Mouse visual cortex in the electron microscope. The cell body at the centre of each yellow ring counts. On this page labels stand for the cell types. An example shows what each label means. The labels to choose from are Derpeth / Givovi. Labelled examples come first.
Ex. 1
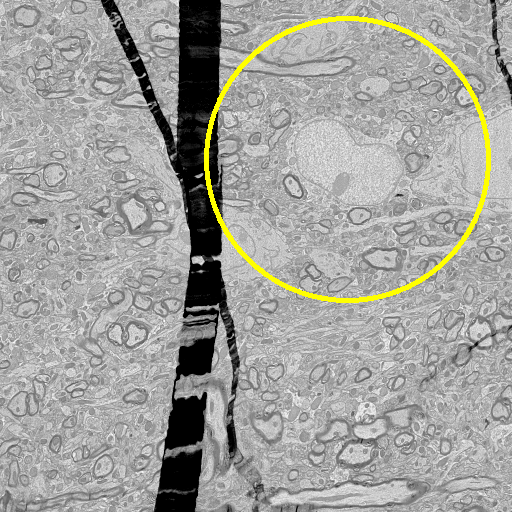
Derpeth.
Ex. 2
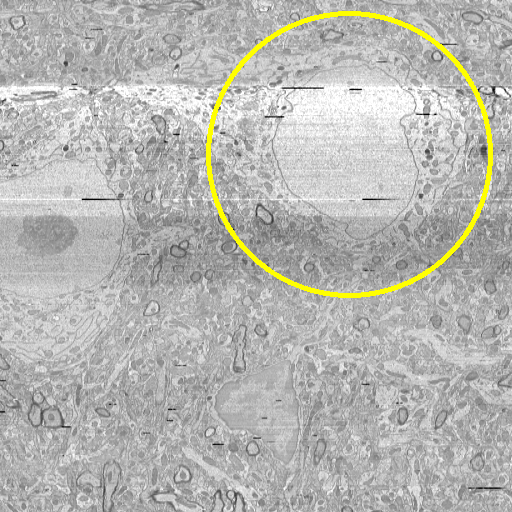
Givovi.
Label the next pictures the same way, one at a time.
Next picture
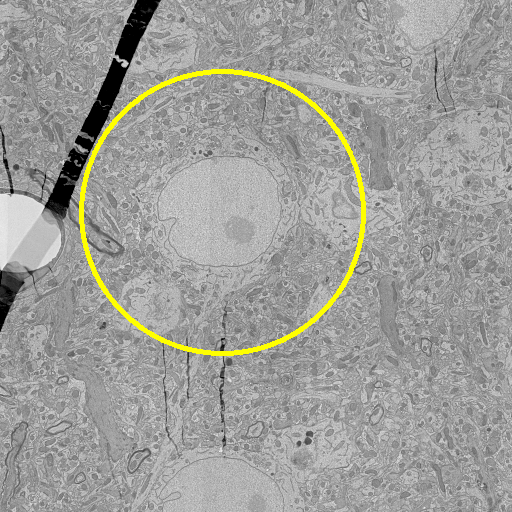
Givovi.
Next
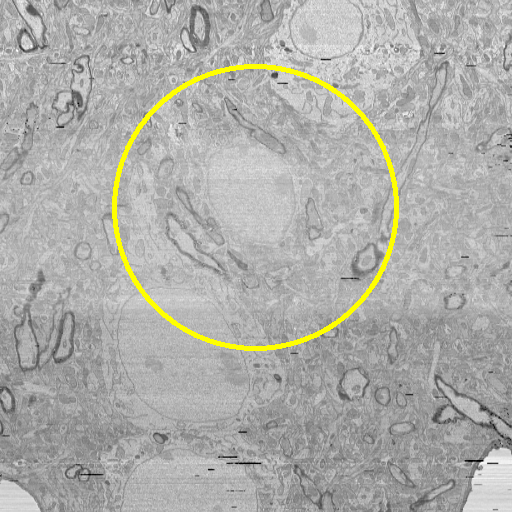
Derpeth.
